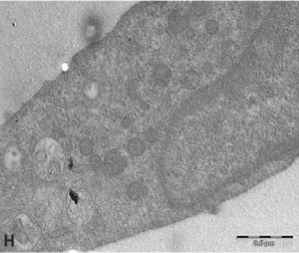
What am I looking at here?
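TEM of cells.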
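This electron micrograph shows part of an elongated cell whose cytoplasm holds many mitochondria. A nucleus with a smooth envelope and finely granular chromatin occupies the right part of the cell.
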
